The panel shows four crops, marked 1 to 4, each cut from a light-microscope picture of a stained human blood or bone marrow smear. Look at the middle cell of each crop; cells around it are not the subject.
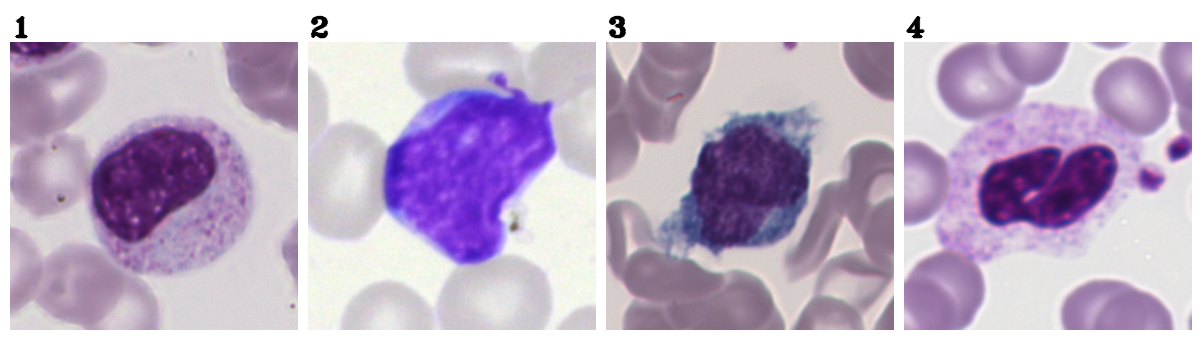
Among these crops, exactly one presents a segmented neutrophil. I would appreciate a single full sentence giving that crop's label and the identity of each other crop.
Crop 4 is identified as a segmented neutrophil, while crop 1 is a metamyelocyte, crop 2 is a blast and crop 3 is a monocyte.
